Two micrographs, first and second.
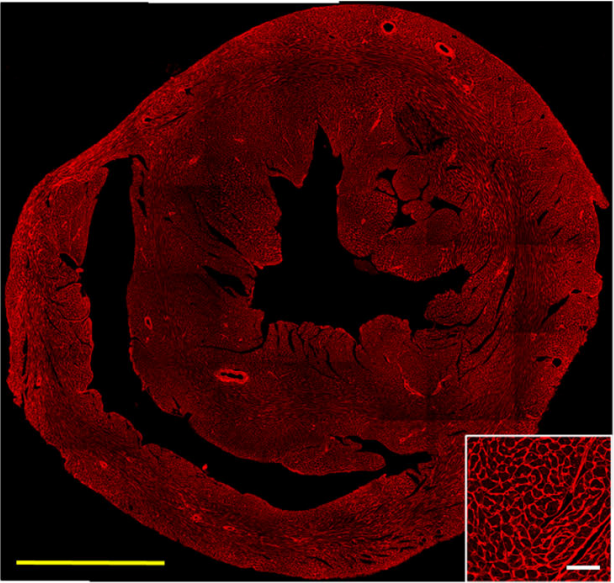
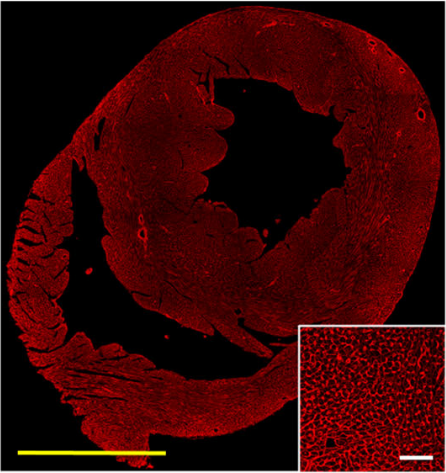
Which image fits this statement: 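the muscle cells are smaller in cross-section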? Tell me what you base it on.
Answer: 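Second image: the inset shows many small, tightly packed cell outlines. First image: the inset shows fewer, larger polygonal cell outlines. The answer: the second image.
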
